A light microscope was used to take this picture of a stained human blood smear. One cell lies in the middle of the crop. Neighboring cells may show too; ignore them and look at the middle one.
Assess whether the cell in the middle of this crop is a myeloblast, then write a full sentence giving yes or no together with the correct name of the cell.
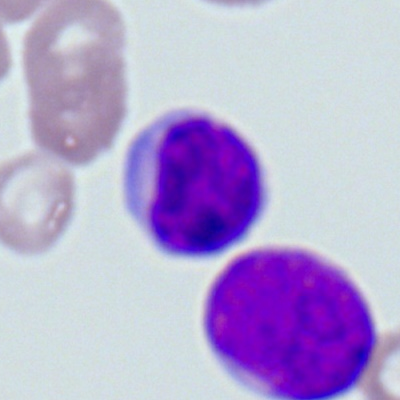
No, the central cell isn't a myeloblast, but a lymphocyte.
